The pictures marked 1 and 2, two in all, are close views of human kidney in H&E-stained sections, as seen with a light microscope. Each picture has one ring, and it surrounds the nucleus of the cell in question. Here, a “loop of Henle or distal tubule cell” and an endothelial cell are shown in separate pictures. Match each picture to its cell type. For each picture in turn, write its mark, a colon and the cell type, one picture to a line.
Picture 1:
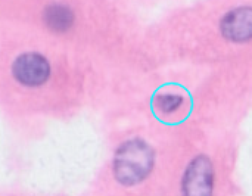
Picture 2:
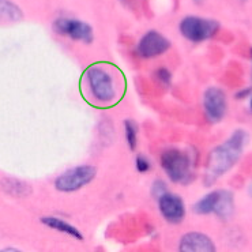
1: endothelial cell
2: loop of Henle or distal tubule cell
